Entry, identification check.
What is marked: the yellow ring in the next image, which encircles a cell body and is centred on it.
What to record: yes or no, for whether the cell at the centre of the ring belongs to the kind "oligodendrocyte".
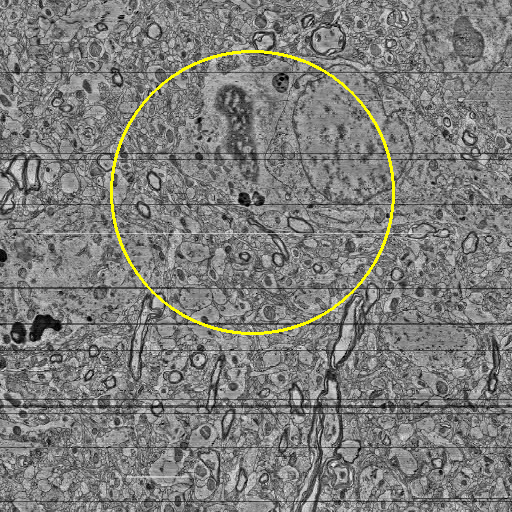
No, it belongs to another kind.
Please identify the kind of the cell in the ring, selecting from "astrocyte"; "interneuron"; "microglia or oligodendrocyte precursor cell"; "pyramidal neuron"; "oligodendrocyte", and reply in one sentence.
Instead, the ring surrounds a microglial cell or oligodendrocyte precursor cell in this picture.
